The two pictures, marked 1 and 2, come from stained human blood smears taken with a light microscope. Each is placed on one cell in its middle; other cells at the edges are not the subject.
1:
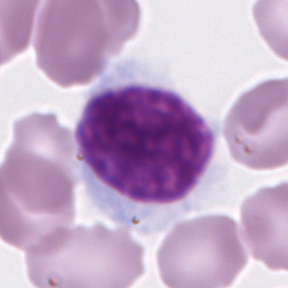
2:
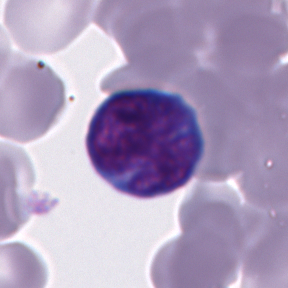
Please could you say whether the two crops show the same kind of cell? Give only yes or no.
no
